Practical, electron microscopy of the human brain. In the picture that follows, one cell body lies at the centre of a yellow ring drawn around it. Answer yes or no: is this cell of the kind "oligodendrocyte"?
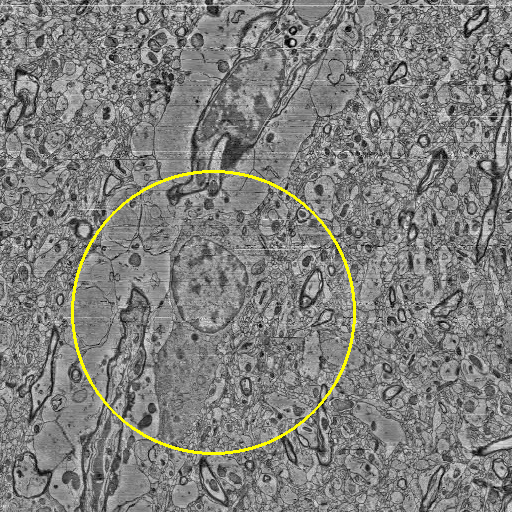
yes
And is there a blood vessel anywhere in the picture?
Yes.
